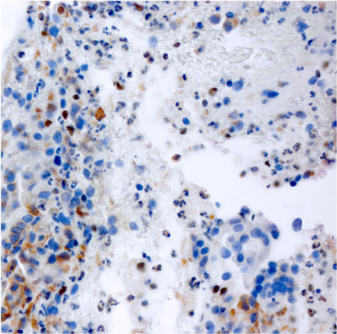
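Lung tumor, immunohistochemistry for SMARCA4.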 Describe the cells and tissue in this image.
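The tumour cells lie in loose clusters around an empty space. Their nuclei are unstained by the brown chromogen, though some cytoplasm shows a faint brown tinge. Among them lie small round nuclei stained dark brown, much smaller than the tumour nuclei, as in lymphocytes.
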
